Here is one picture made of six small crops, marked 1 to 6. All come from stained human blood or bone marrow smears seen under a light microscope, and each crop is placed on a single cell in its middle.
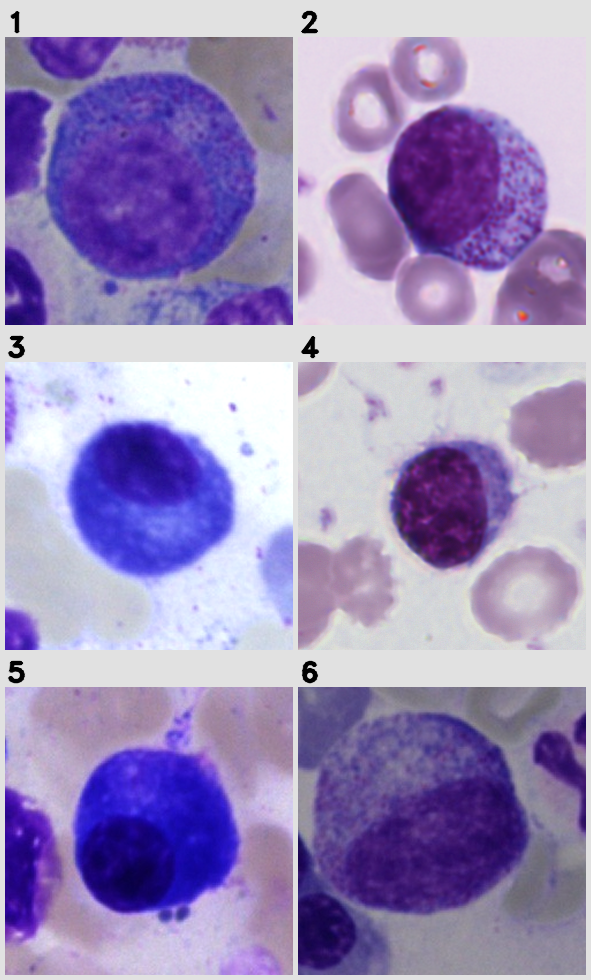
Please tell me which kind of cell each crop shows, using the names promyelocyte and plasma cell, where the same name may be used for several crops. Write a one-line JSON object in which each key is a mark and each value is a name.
{"1": "promyelocyte", "2": "promyelocyte", "3": "plasma cell", "4": "plasma cell", "5": "plasma cell", "6": "promyelocyte"}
